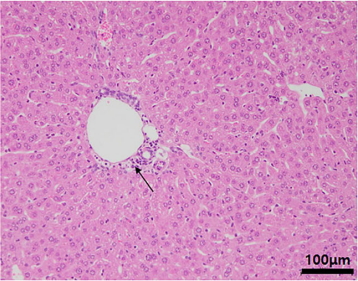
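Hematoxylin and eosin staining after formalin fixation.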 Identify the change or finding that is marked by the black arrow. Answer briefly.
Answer: Inflammatory cell infiltration.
